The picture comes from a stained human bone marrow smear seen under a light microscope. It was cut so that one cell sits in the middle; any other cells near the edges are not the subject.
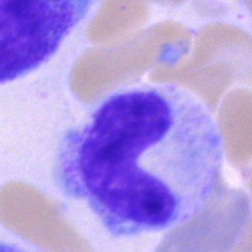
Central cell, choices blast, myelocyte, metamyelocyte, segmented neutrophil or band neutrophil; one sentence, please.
Here the centrally located cell is a band neutrophil.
